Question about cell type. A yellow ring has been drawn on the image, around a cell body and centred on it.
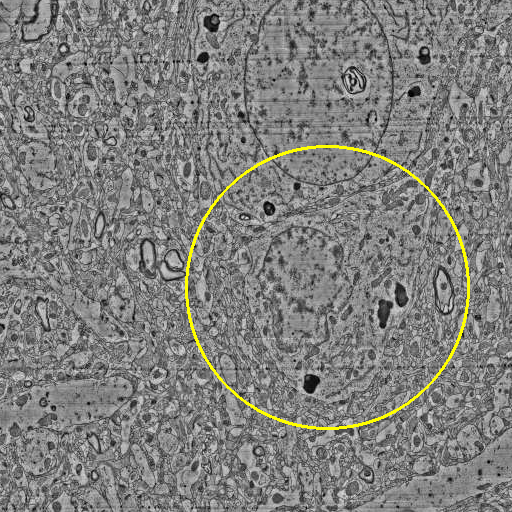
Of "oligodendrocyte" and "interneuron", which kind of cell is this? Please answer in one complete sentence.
At the centre of the ring lies an interneuron.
